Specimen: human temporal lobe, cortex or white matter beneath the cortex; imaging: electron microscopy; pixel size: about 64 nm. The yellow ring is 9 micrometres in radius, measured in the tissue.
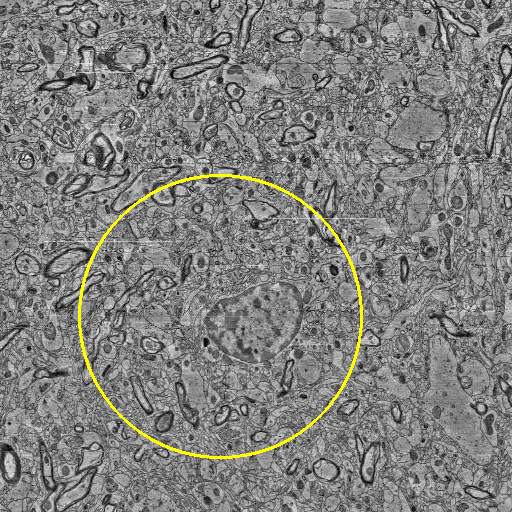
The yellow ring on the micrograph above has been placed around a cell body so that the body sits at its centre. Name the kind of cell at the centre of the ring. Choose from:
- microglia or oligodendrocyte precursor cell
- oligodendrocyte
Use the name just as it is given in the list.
microglia or oligodendrocyte precursor cell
